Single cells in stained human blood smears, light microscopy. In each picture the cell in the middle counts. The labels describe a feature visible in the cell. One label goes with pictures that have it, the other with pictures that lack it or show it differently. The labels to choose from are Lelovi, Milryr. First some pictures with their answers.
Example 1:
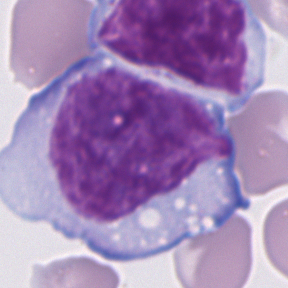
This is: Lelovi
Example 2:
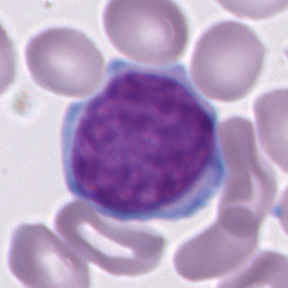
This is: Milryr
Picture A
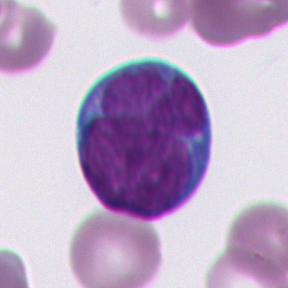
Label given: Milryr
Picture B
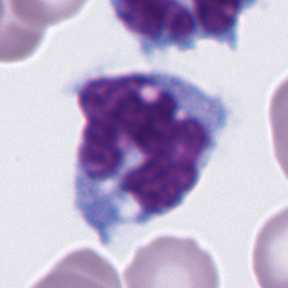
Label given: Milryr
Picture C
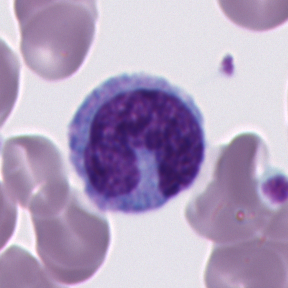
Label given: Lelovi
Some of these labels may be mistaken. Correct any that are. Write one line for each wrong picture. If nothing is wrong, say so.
B: Lelovi, not Milryr
C: Milryr, not Lelovi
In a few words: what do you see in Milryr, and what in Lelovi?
Seen in Milryr: no vacuoles; seen in Lelovi: vacuoles present.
